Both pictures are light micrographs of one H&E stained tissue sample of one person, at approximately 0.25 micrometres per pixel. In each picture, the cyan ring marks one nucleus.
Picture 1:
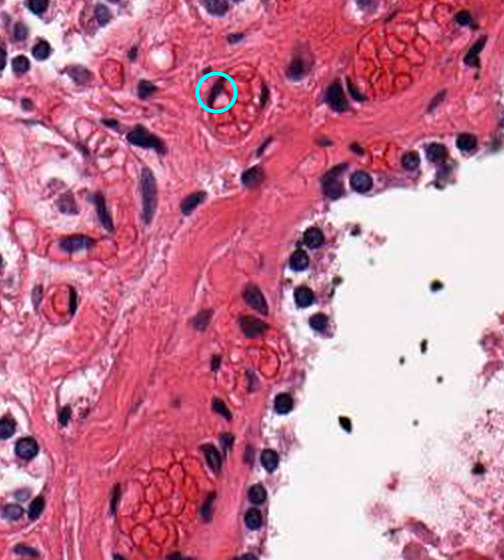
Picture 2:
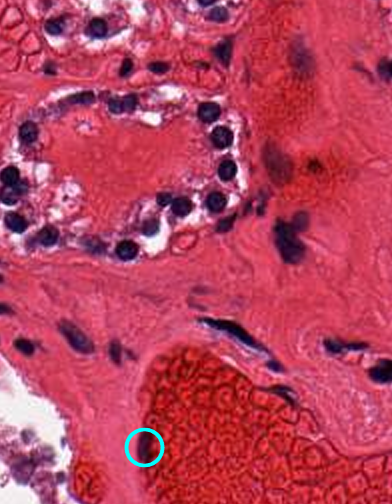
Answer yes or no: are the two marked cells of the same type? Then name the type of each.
Yes, both are endothelial cells.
